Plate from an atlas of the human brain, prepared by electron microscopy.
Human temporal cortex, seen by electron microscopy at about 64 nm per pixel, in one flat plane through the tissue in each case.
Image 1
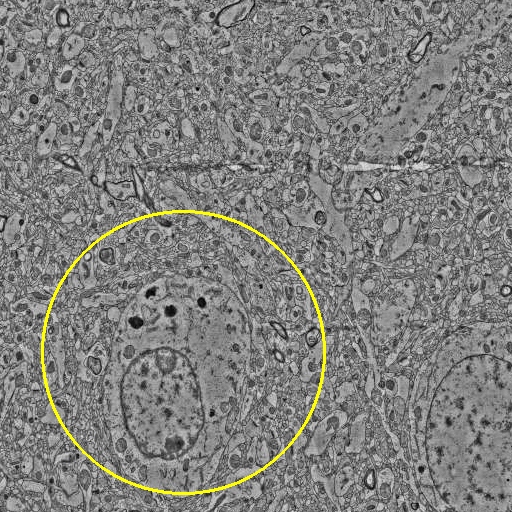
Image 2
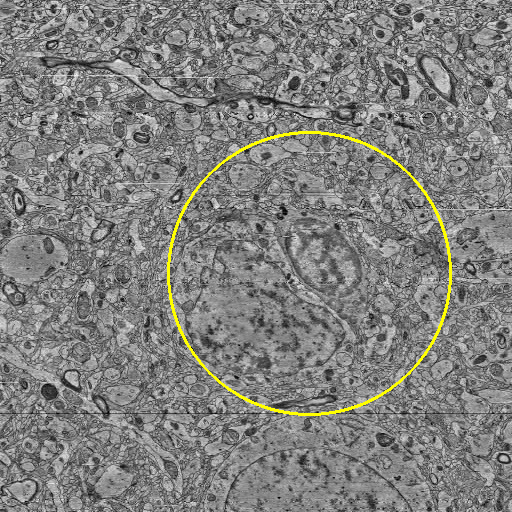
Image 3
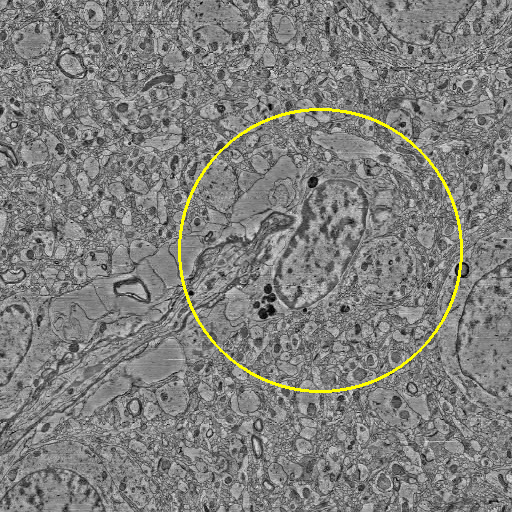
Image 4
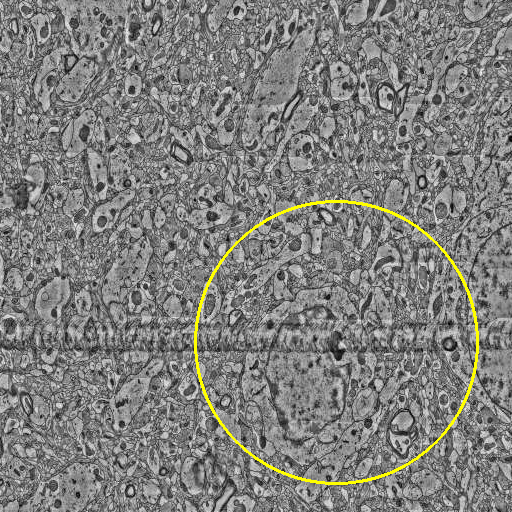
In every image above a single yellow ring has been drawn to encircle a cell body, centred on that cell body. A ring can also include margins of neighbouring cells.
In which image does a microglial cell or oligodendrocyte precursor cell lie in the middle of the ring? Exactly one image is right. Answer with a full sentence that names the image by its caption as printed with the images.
Image 3 holds the requested cell at the very centre of its ring.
